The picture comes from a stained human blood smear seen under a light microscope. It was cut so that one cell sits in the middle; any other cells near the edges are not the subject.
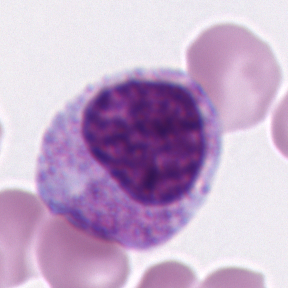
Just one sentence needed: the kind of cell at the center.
This crop has a myelocyte at its centre.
